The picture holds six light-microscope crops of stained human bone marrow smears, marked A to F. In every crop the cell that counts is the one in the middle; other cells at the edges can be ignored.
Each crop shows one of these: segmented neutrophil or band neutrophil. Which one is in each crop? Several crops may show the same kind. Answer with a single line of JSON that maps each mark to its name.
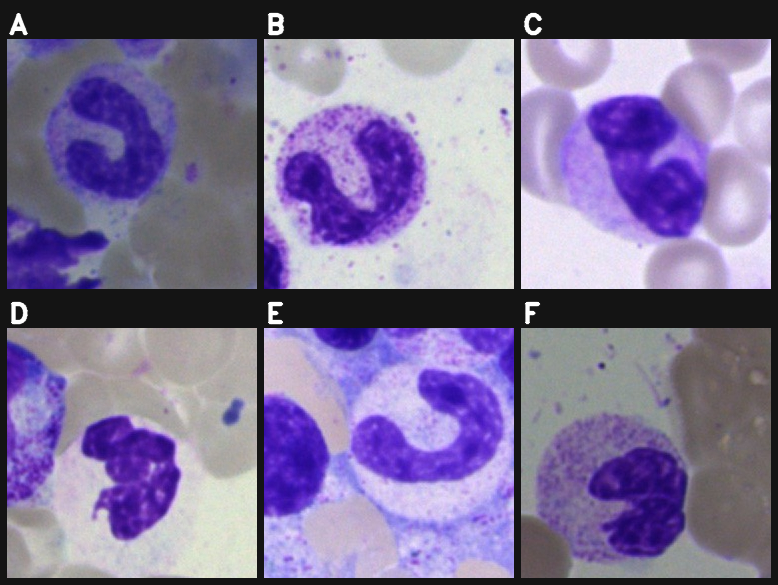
{"A": "band neutrophil", "B": "segmented neutrophil", "C": "band neutrophil", "D": "segmented neutrophil", "E": "band neutrophil", "F": "band neutrophil"}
